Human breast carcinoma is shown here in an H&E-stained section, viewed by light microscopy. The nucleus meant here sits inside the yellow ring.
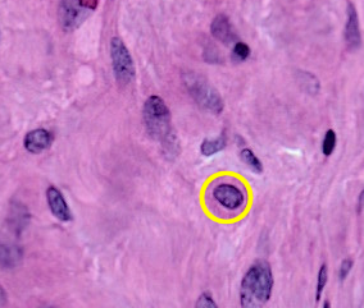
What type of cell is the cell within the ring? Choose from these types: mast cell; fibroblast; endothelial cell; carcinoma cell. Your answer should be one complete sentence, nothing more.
At the level of cell identity, the cell within the ring is a mast cell.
